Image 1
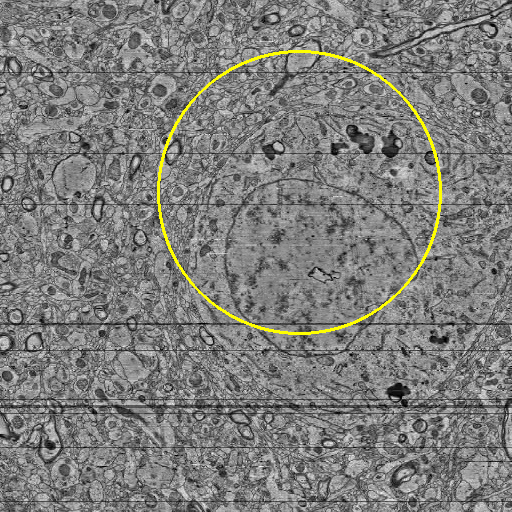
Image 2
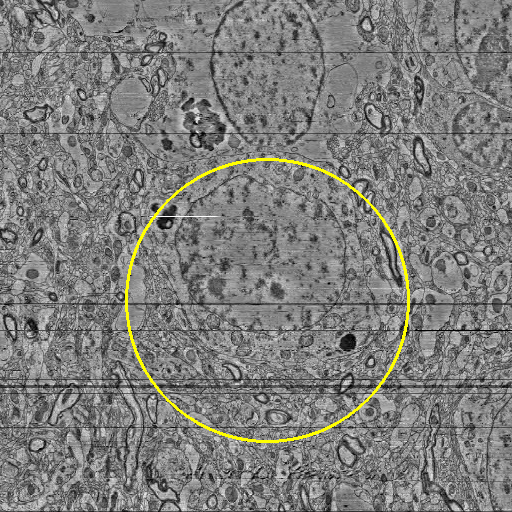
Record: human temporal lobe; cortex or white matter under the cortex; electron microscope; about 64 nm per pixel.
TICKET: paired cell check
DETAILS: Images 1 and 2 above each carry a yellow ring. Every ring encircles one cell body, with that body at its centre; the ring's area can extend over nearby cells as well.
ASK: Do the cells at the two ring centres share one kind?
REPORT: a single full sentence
Yes, the ring-centre cells of Images 1 and 2 belong to a single kind.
